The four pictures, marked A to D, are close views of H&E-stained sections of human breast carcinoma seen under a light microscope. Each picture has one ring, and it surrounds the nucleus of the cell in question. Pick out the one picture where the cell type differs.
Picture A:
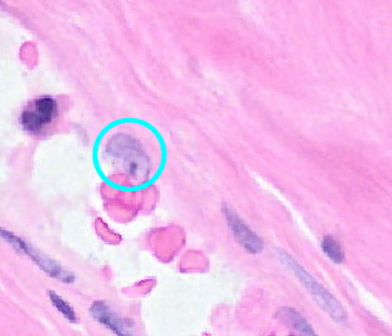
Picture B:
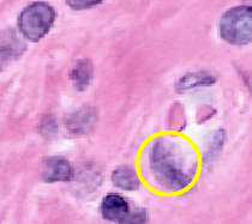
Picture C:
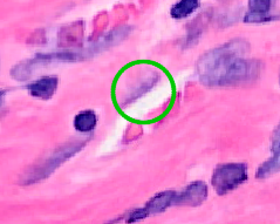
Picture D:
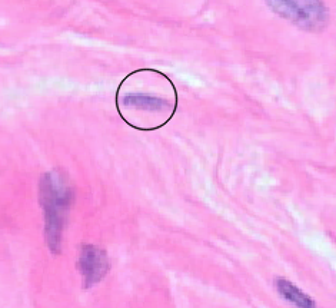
D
